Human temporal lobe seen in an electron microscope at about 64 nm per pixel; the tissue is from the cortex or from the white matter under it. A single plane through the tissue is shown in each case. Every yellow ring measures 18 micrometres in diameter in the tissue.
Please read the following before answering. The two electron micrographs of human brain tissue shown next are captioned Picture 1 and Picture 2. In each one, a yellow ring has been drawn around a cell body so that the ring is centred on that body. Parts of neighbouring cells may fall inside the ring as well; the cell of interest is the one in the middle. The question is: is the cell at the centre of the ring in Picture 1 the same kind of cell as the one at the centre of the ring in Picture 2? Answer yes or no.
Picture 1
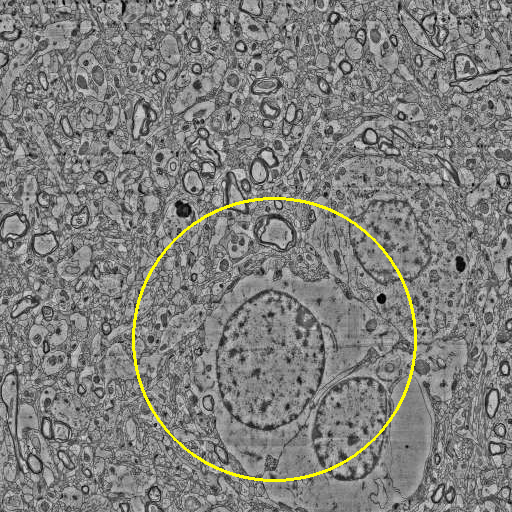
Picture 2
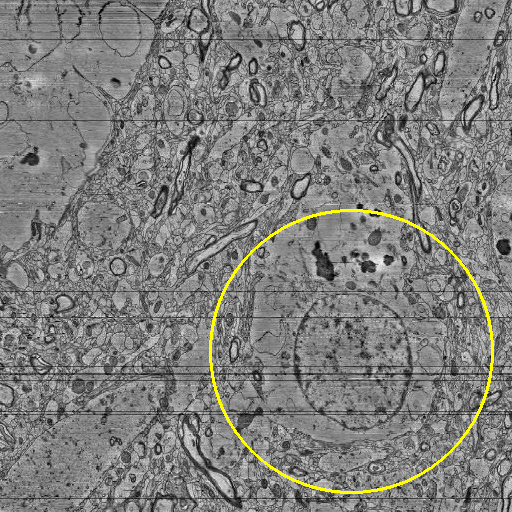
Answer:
yes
